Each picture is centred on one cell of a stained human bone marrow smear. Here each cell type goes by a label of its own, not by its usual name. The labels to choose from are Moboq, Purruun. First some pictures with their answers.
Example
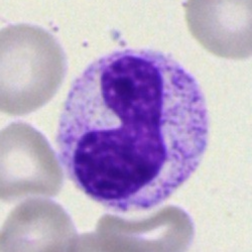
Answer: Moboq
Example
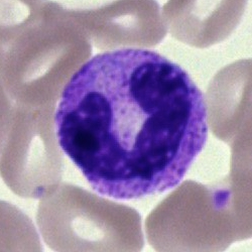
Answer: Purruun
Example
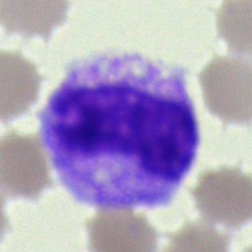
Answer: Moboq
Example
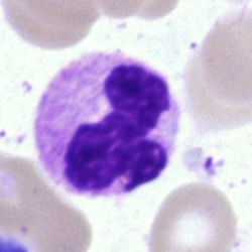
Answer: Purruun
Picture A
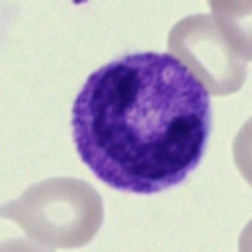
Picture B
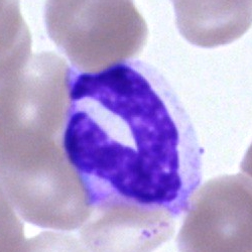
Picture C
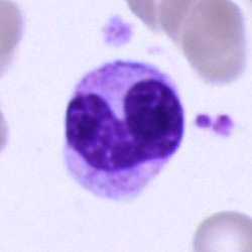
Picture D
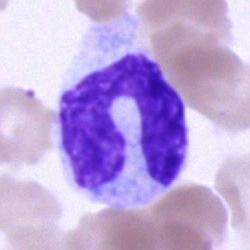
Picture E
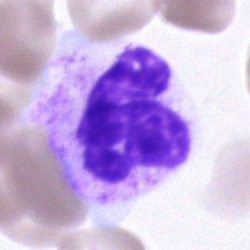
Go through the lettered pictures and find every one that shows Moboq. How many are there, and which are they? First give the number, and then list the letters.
4: A, B, C, D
